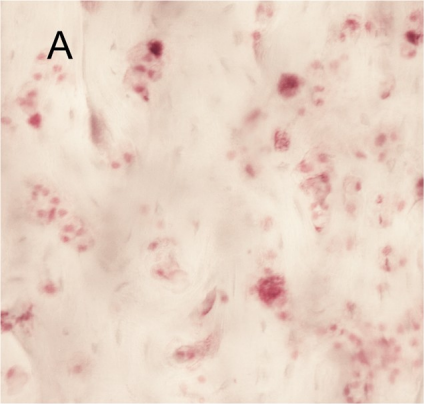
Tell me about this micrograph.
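Osteoclasts lying on a bone surface, seen as scattered, fairly small stained cells. The cells are rounded to irregular, some with several rounded inner bodies visible in a faintly stained cytoplasm, others compact and deeply red-purple. Between them the pale, whitish background shows a faint streaked texture of the underlying surface, and some elongated, weakly outlined cell shapes lie among the stained ones. The cells are spread singly or in loose groups across the field without any very large spread cell among them.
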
